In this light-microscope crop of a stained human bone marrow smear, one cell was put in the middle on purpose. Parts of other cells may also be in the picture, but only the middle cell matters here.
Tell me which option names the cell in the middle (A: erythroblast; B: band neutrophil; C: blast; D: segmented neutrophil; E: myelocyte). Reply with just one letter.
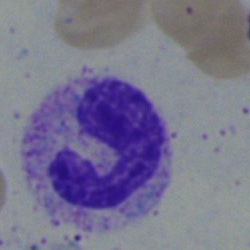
B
